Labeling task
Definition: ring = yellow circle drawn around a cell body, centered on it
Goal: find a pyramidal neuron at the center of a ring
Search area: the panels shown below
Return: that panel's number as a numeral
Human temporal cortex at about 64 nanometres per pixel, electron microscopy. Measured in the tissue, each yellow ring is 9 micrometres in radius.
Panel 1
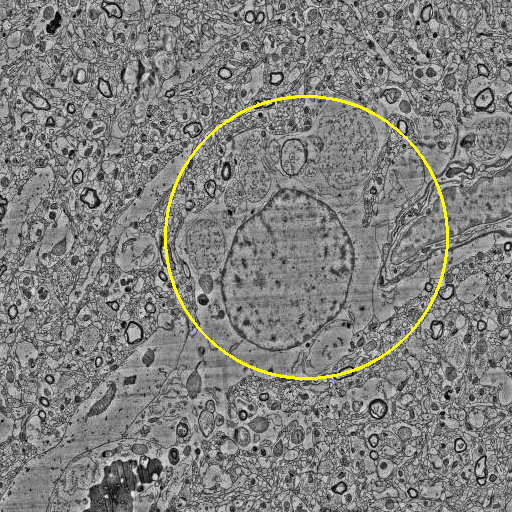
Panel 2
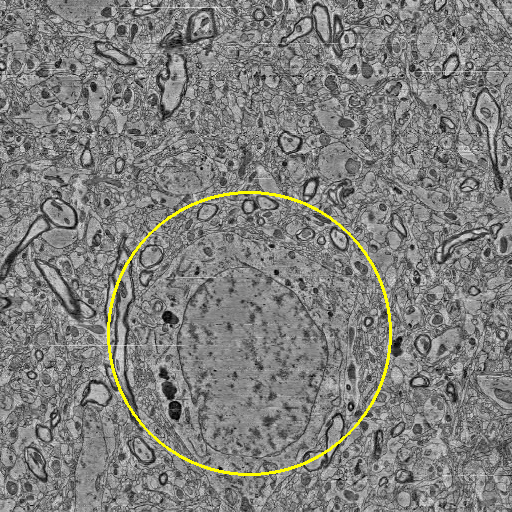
2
